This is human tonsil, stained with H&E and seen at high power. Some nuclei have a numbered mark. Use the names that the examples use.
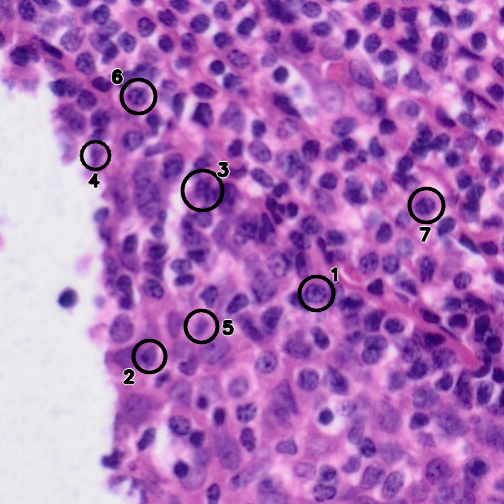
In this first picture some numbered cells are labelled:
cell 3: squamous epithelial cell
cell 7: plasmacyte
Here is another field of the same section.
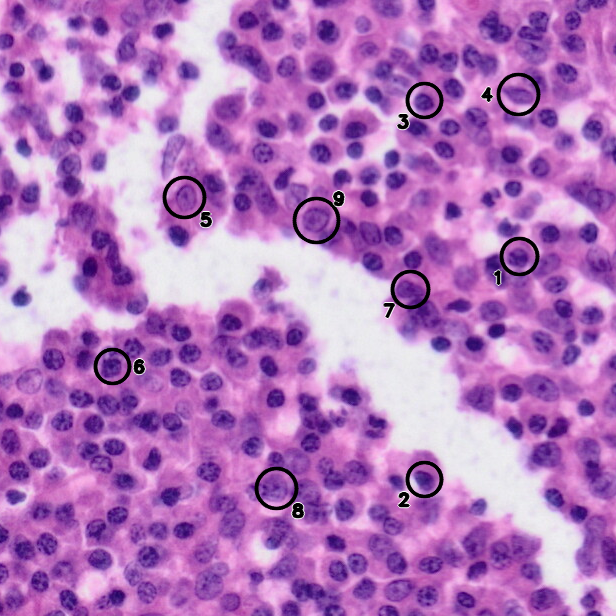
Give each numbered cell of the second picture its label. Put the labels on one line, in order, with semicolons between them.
plasmacyte; plasmacyte; plasmacyte; squamous epithelial cell; squamous epithelial cell; plasmacyte; squamous epithelial cell; squamous epithelial cell; squamous epithelial cell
